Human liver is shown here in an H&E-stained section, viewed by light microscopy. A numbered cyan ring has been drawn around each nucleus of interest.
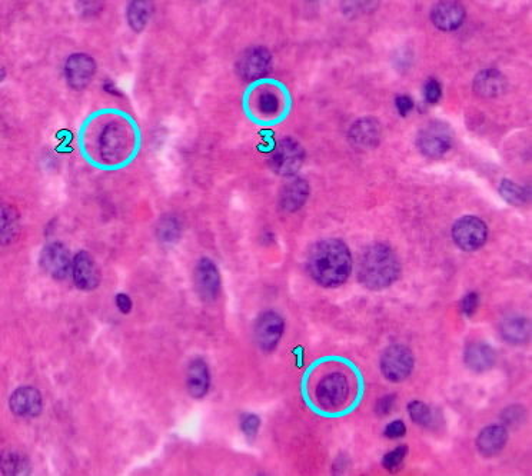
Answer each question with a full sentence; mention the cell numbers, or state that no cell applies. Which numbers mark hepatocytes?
The cells with labels 1 and 2 are hepatocytes.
